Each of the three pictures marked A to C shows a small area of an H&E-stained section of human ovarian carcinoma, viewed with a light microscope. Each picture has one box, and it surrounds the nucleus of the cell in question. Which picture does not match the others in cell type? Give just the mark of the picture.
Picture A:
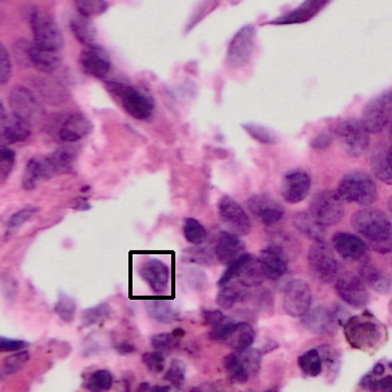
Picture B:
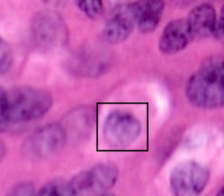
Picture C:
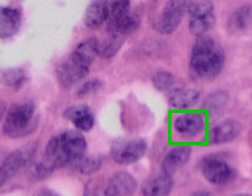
A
